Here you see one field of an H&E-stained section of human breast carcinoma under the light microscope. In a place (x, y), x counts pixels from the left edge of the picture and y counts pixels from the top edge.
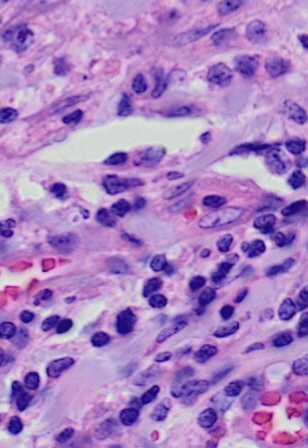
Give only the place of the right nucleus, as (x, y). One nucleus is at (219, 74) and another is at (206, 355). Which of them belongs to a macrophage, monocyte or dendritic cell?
(219, 74)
